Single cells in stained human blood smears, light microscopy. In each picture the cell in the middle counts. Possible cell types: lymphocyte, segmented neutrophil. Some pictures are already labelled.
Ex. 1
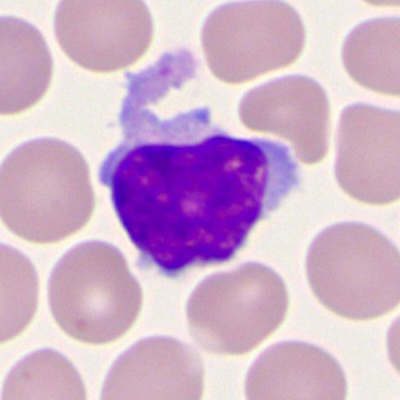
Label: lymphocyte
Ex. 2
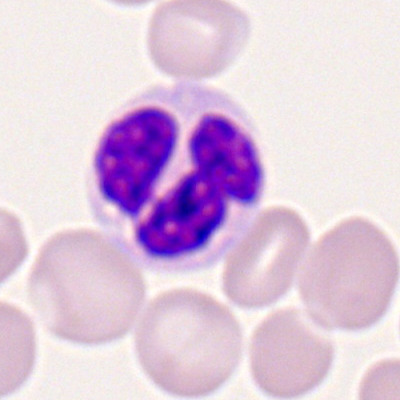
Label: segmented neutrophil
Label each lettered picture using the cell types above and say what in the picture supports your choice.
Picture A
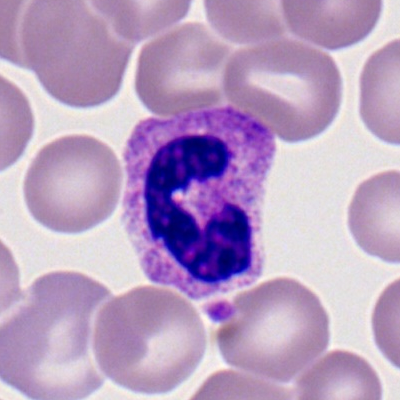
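segmented neutrophil. Reason: The cytoplasm is plentiful and pale pinkish-lilac.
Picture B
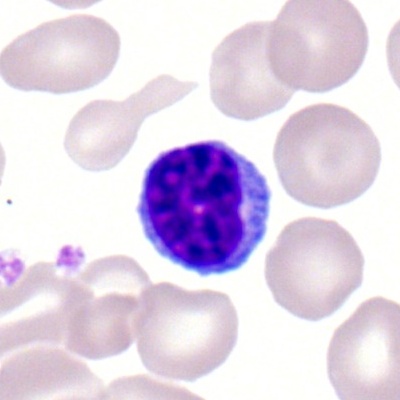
lymphocyte. Reason: The nucleus fills most of the cell.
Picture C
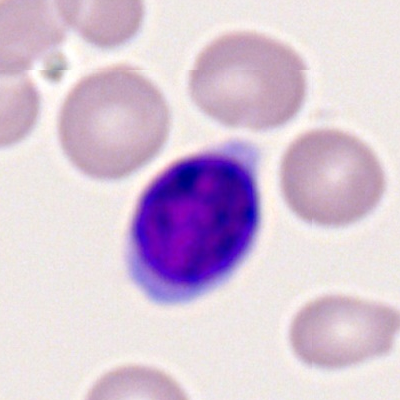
lymphocyte. Reason: The cytoplasm forms only a narrow rim around the nucleus.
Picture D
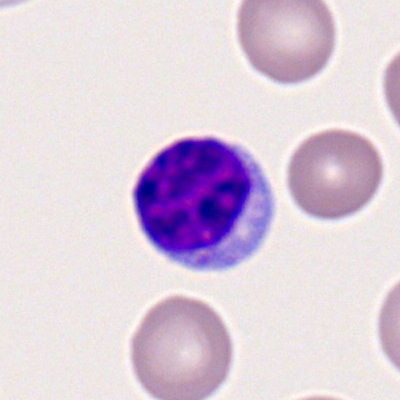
lymphocyte. Reason: The nucleus fills most of the cell.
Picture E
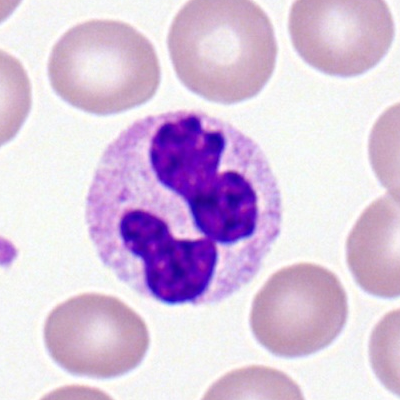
segmented neutrophil. Reason: The cytoplasm is plentiful and pale pinkish-lilac.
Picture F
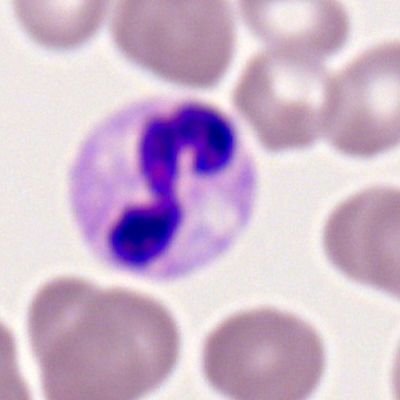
segmented neutrophil. Reason: The cytoplasm is plentiful and pale pinkish-lilac.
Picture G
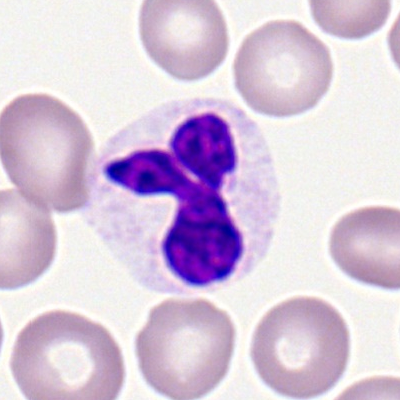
segmented neutrophil. Reason: The nucleus is divided into three lobes.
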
